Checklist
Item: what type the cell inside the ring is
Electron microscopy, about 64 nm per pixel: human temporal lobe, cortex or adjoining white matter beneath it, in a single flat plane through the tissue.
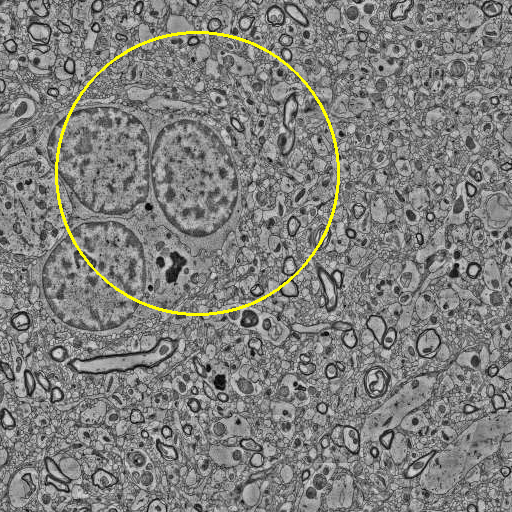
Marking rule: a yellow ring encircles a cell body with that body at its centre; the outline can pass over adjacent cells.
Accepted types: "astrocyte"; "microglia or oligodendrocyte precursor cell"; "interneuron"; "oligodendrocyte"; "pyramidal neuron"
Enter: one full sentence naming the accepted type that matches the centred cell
The entry is that an oligodendrocyte lies at the centre of the yellow ring.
